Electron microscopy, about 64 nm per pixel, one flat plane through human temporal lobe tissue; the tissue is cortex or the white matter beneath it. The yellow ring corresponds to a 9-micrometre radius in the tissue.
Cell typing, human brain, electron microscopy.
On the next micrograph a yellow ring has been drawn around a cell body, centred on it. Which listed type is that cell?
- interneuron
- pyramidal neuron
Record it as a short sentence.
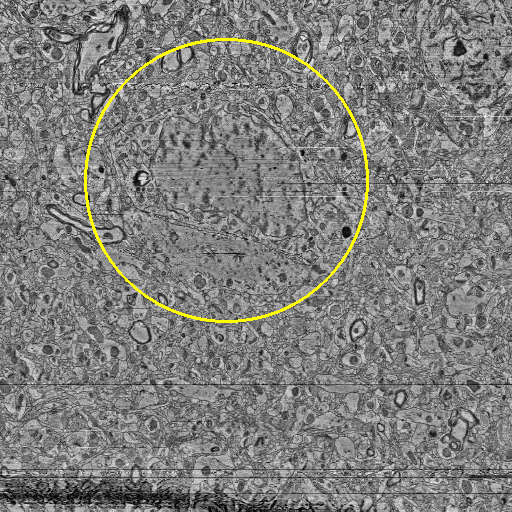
The cell body in the ring's centre belongs to an interneuron.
